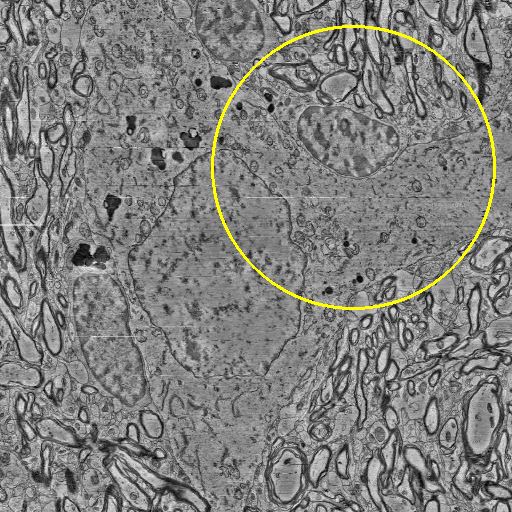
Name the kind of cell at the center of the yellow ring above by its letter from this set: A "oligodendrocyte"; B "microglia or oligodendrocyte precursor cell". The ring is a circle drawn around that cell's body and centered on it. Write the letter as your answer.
B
